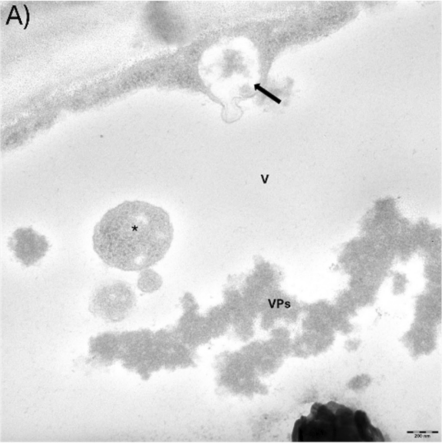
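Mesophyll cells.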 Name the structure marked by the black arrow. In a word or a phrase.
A: A vesicle containing electron‐dense material.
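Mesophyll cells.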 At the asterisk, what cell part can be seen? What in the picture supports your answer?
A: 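Cytoplasm portions. The asterisk sits in a round, membrane-bounded, finely granular body floating in the clear vacuole.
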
